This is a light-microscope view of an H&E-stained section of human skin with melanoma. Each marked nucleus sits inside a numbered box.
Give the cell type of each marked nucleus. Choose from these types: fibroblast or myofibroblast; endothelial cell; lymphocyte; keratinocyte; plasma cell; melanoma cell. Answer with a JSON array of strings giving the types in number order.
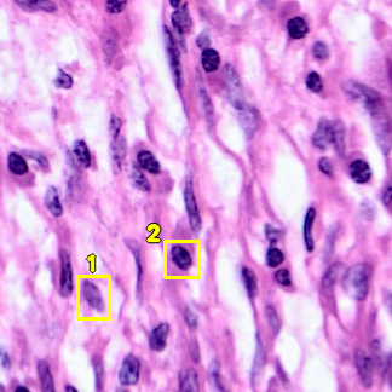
["fibroblast or myofibroblast", "plasma cell"]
